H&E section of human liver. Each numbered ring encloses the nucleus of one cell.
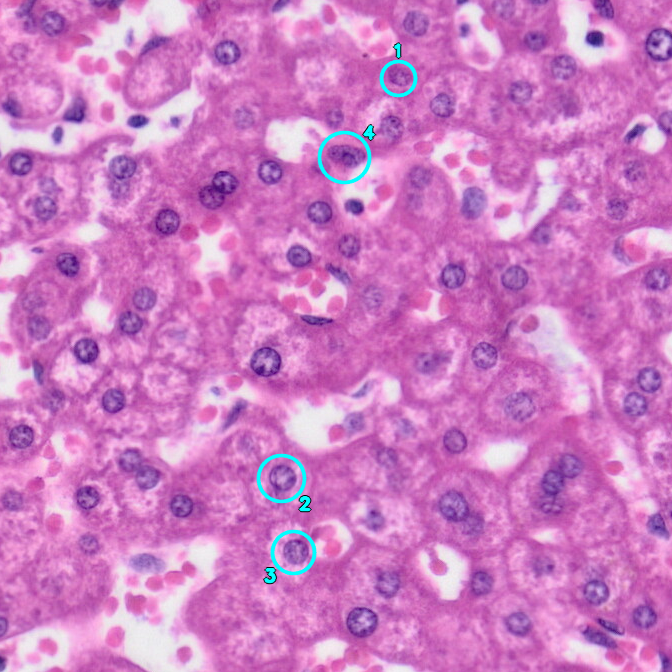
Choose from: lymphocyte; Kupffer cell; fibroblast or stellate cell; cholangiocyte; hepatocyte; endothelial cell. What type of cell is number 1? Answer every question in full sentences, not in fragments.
The marked cell bearing number 1 is a hepatocyte.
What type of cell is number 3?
The marked nucleus 3 is that of a hepatocyte.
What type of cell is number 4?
Number 4 is placed on a Kupffer cell here.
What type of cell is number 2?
Cell 2, as marked in the section, is a hepatocyte.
